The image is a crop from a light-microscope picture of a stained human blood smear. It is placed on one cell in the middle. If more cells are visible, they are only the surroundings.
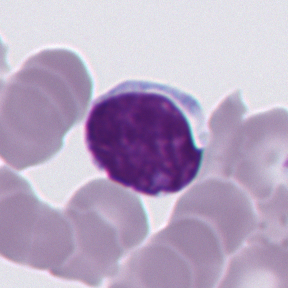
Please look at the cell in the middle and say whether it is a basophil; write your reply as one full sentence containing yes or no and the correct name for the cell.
No, the cell in the middle is not a basophil but a typical lymphocyte.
